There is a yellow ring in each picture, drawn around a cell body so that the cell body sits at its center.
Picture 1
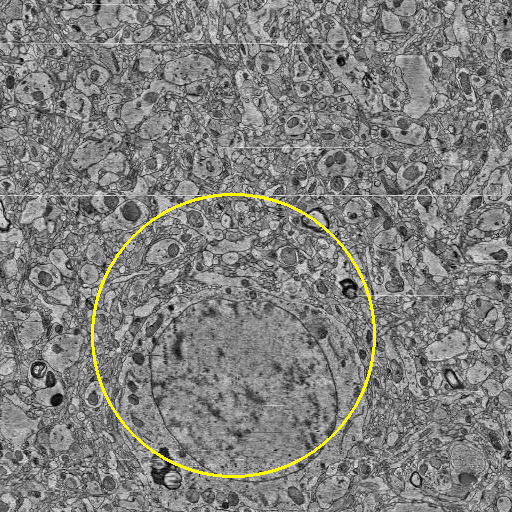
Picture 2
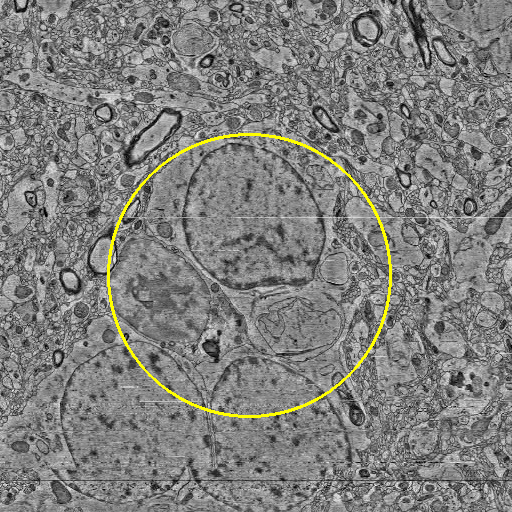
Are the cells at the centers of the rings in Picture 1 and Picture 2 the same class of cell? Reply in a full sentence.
No, the two cells are two classes of cell.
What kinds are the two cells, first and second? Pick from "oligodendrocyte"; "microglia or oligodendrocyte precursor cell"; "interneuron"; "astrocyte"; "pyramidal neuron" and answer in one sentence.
The second picture holds an astrocyte in its ring, and the first holds a pyramidal neuron.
